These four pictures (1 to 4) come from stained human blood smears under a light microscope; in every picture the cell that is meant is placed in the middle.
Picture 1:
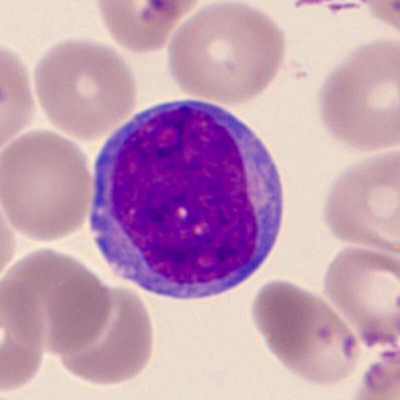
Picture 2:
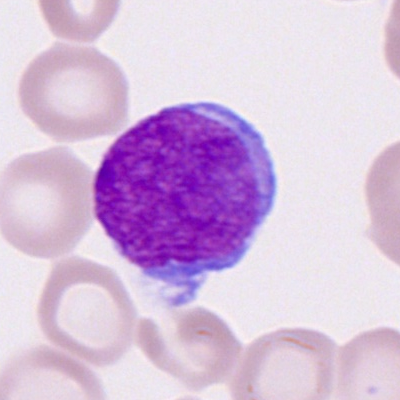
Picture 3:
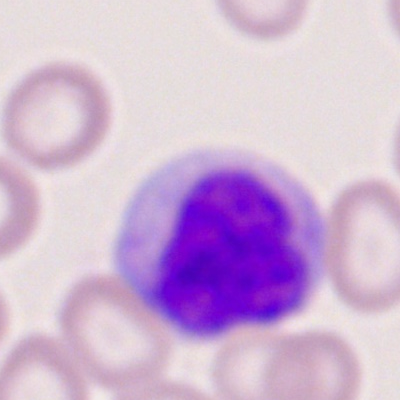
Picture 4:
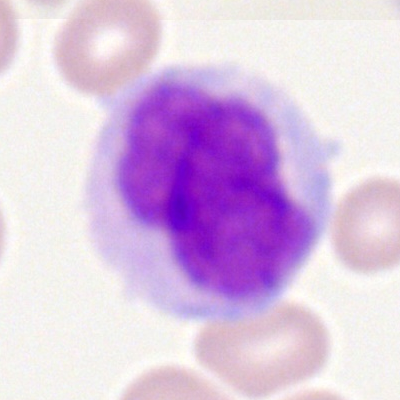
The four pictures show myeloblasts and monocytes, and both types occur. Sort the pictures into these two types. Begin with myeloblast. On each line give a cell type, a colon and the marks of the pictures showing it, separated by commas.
myeloblast: 1, 2
monocyte: 3, 4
